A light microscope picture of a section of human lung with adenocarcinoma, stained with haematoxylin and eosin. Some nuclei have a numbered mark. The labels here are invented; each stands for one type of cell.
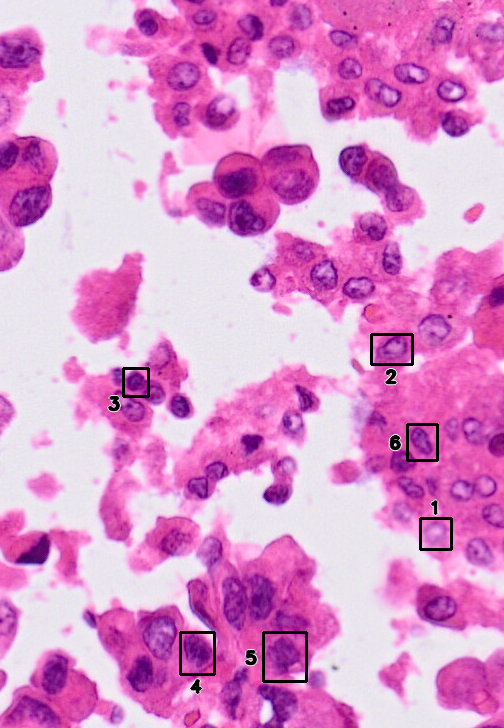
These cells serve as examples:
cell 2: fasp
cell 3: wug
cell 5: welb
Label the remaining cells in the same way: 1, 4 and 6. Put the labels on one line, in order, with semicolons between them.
fasp; welb; fasp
